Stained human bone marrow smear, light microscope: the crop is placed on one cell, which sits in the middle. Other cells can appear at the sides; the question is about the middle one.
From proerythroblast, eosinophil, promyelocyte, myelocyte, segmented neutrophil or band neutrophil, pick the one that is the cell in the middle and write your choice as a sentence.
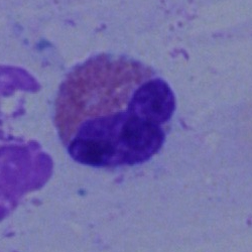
By type, the central cell of the crop is an eosinophil.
